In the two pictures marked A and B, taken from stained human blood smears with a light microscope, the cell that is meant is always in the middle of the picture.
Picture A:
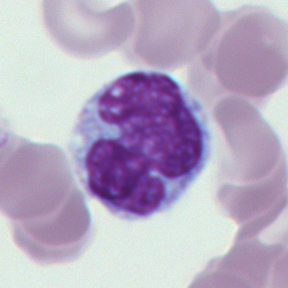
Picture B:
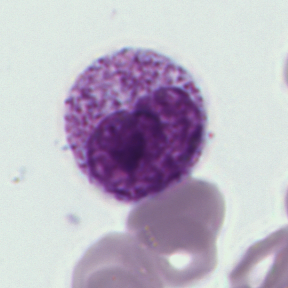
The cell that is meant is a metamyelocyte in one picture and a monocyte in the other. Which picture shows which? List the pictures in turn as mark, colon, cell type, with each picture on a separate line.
A: monocyte
B: metamyelocyte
